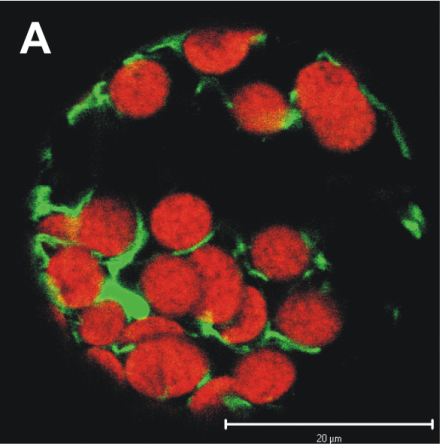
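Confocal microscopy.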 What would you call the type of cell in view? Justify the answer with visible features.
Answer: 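Mesophyll protoplasts. A single round cell without a cell wall outline of angular shape. Green fluorescence lies in thin strands between the chloroplasts.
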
